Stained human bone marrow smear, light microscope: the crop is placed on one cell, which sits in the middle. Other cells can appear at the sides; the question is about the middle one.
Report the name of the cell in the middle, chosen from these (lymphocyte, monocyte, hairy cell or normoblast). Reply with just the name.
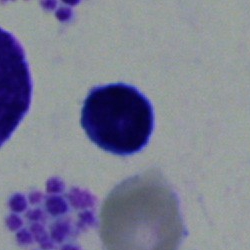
lymphocyte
